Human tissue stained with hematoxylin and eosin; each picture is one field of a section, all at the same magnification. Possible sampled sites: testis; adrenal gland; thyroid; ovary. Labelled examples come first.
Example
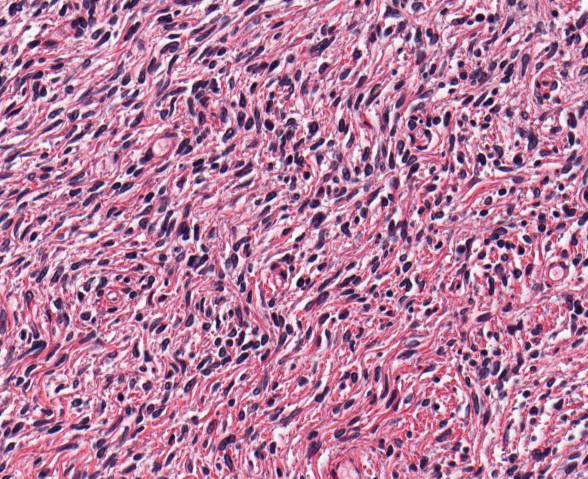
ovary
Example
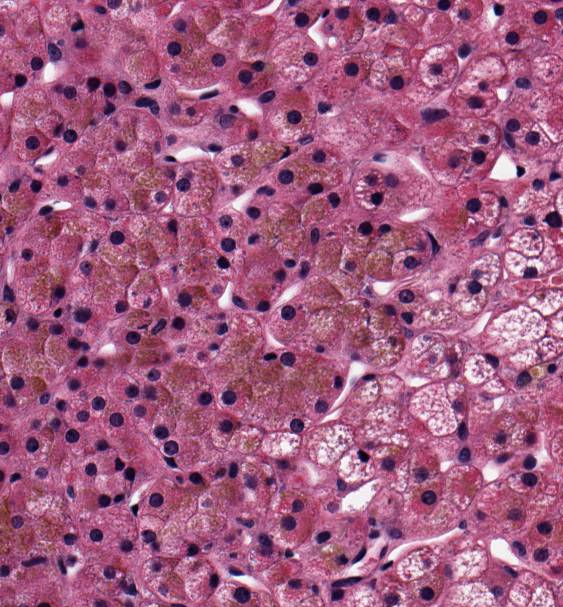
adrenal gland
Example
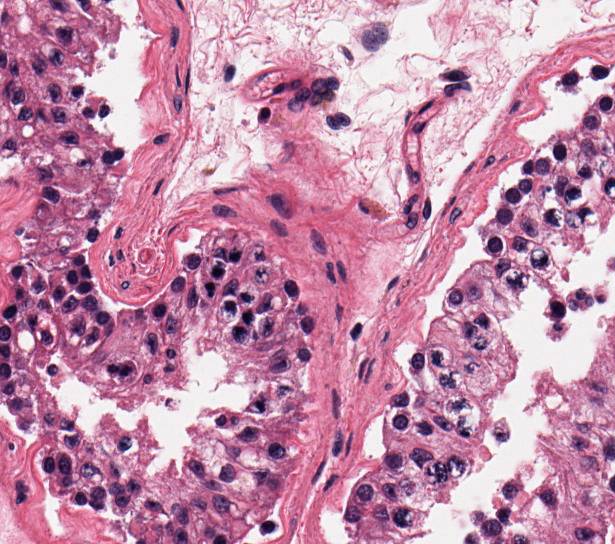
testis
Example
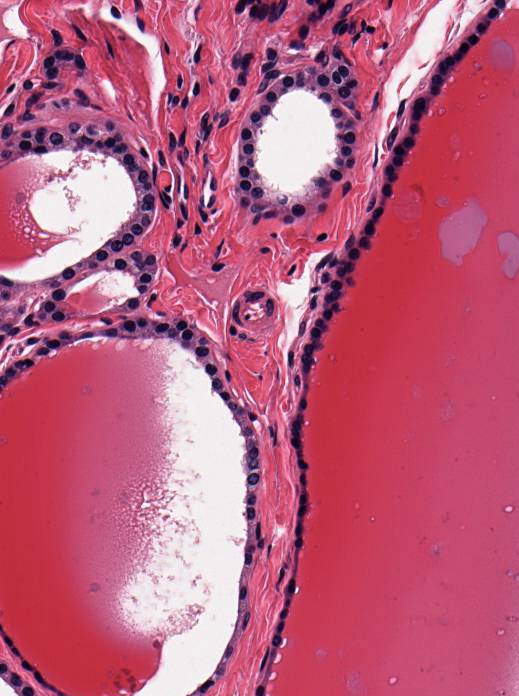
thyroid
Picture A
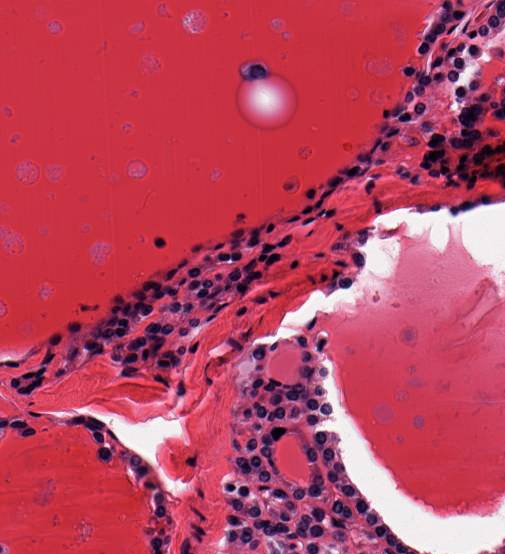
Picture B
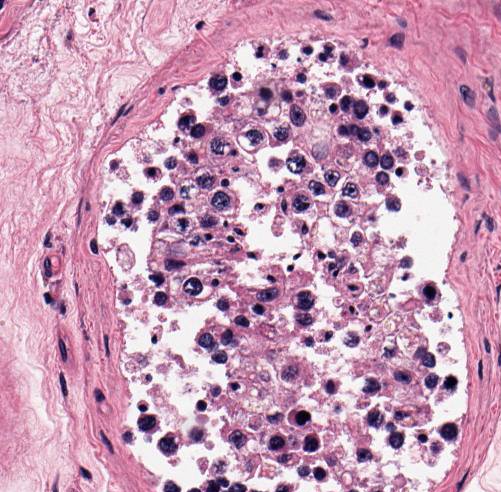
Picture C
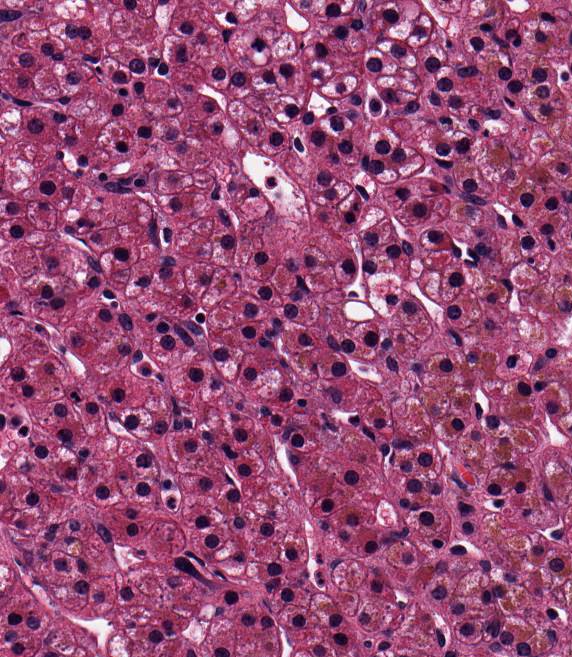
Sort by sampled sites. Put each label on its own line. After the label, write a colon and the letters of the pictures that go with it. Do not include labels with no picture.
testis: B
adrenal gland: C
thyroid: A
